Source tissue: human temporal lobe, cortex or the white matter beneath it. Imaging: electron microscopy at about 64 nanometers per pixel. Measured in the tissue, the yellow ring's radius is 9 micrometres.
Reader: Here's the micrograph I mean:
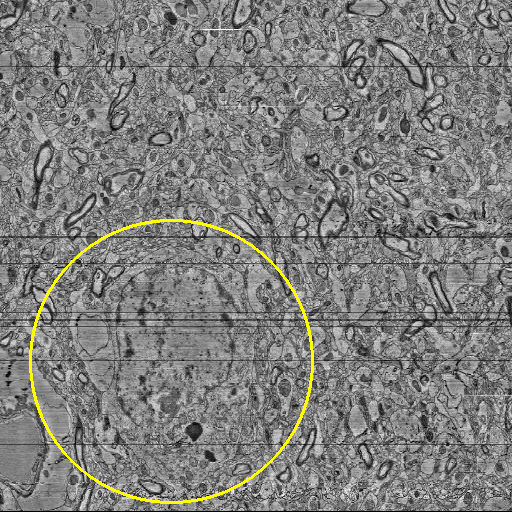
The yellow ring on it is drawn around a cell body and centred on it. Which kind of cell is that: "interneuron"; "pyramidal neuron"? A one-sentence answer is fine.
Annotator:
The ring is centred on an interneuron.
